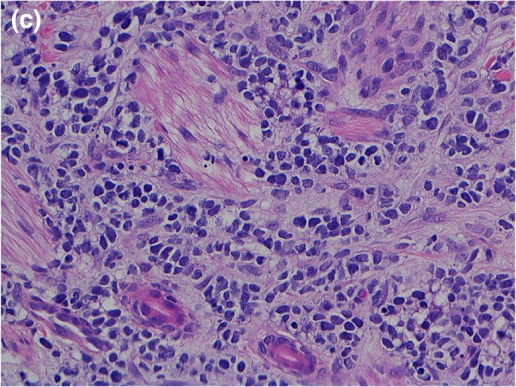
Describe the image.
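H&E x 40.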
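This is a high-power view of a dermal infiltrate of poorly differentiated small round tumour cells. The cells have crowded, darkly staining purple nuclei with barely any discernible cytoplasm around them. They pack densely around pink collagen bundles and small thick-walled vessels, and scattered fragmented dark nuclear debris can be picked out among them.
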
